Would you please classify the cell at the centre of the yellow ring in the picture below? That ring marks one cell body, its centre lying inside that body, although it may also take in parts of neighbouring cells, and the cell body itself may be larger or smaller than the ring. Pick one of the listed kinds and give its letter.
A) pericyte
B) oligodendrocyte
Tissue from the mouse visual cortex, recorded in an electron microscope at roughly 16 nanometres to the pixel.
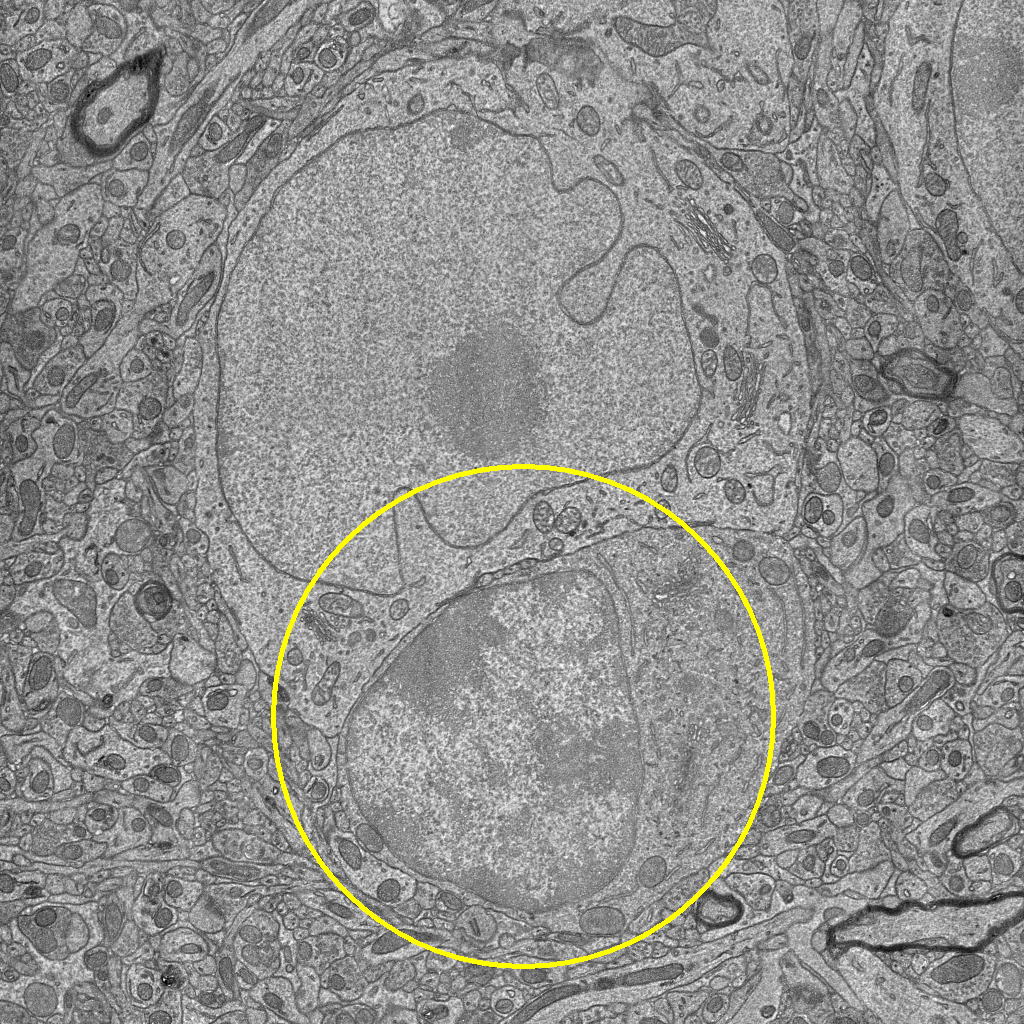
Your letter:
B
